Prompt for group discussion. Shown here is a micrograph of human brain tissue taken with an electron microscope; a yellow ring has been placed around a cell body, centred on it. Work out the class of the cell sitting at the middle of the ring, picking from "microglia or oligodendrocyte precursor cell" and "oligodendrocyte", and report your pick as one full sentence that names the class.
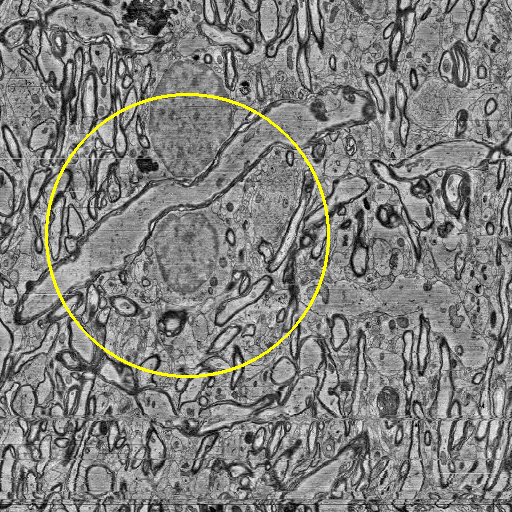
The cell sitting at the middle of the yellow ring is an oligodendrocyte.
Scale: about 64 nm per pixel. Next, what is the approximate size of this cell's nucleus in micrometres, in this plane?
In this plane the nucleus measures roughly 6 by 4 micrometres.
